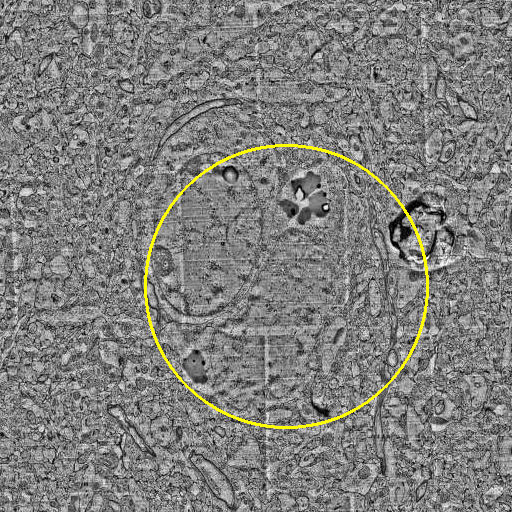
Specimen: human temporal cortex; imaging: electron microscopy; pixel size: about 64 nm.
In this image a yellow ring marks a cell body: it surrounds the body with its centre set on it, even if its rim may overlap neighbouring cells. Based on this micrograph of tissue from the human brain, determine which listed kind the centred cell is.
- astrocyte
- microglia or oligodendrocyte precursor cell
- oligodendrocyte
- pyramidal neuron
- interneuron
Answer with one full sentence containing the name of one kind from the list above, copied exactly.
It is an interneuron whose body the yellow ring encloses at its centre.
